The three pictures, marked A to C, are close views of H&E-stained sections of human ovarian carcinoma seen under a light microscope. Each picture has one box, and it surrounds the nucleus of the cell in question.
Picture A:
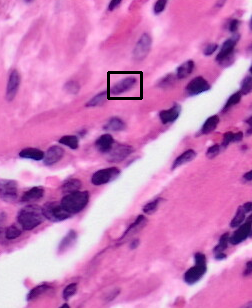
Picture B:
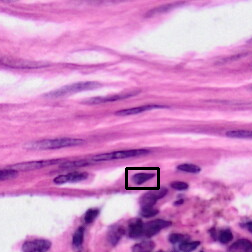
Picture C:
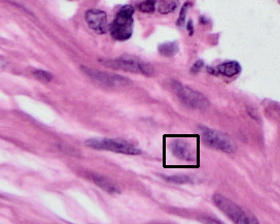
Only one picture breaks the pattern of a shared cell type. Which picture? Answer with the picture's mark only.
B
